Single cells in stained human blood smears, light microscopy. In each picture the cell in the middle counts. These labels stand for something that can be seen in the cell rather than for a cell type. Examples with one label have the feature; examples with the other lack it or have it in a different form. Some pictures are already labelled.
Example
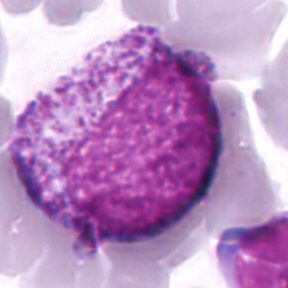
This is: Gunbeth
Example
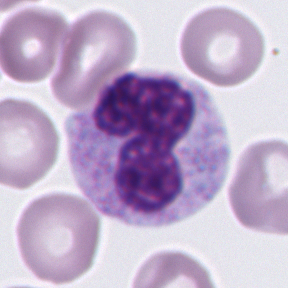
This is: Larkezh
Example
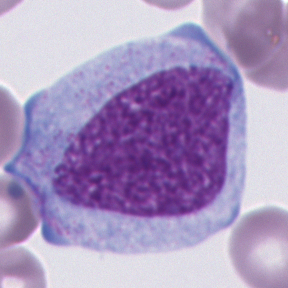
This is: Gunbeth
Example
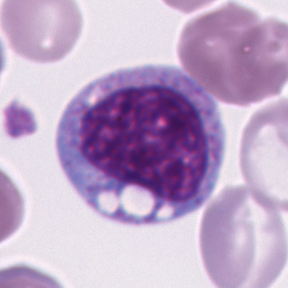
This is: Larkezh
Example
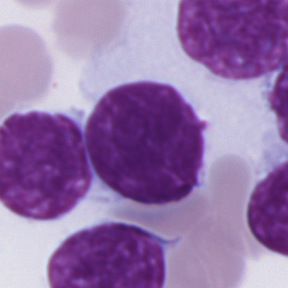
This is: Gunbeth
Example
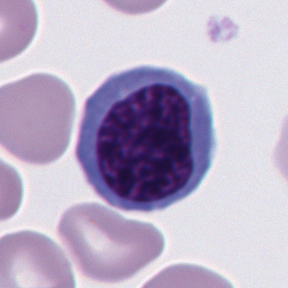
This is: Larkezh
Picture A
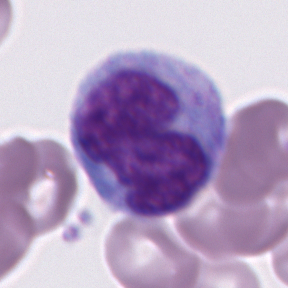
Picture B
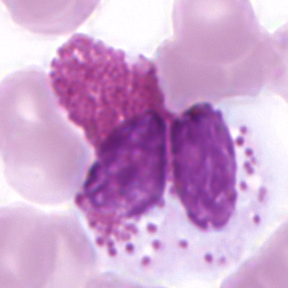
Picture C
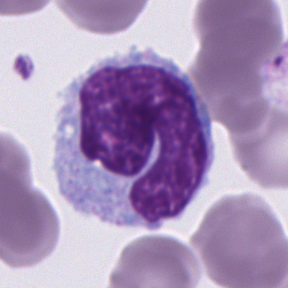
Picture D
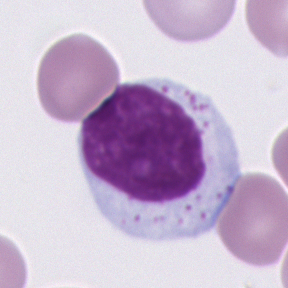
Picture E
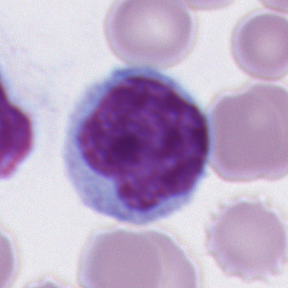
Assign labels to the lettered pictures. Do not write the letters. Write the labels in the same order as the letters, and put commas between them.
Larkezh, Gunbeth, Gunbeth, Larkezh, Larkezh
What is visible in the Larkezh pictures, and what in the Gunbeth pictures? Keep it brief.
In Larkezh: smooth outline. In Gunbeth: ragged outline or projections.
